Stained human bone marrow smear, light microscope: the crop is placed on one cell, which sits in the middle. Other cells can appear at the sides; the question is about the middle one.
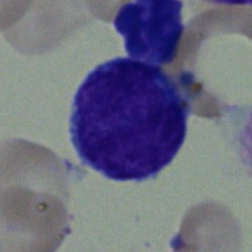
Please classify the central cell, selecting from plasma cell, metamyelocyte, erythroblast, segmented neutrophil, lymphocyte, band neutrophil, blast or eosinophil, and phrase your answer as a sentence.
The crop centres on a single cell, and that cell is a lymphocyte.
